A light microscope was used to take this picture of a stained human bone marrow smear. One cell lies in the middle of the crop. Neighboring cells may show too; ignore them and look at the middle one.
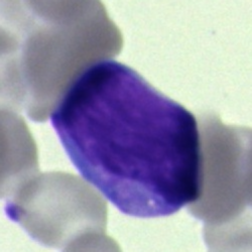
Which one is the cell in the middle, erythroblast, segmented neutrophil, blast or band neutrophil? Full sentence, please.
In this crop, the cell at the very middle is a blast.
